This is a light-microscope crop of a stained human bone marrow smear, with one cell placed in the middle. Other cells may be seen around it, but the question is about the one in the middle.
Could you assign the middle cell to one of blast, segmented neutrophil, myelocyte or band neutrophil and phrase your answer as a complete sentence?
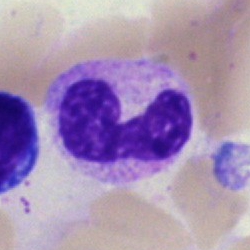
This particular crop is centered on a band neutrophil.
